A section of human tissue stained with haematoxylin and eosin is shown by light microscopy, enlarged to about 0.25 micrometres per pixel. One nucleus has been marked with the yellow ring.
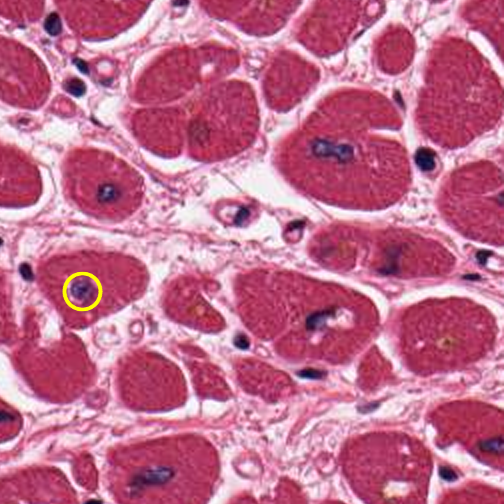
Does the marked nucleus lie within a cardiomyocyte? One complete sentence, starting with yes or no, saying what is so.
Yes, a cardiomyocyte contains the marked nucleus.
